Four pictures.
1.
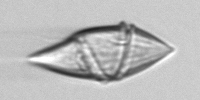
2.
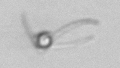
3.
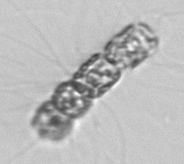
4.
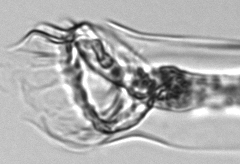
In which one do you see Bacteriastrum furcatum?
In picture 3.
